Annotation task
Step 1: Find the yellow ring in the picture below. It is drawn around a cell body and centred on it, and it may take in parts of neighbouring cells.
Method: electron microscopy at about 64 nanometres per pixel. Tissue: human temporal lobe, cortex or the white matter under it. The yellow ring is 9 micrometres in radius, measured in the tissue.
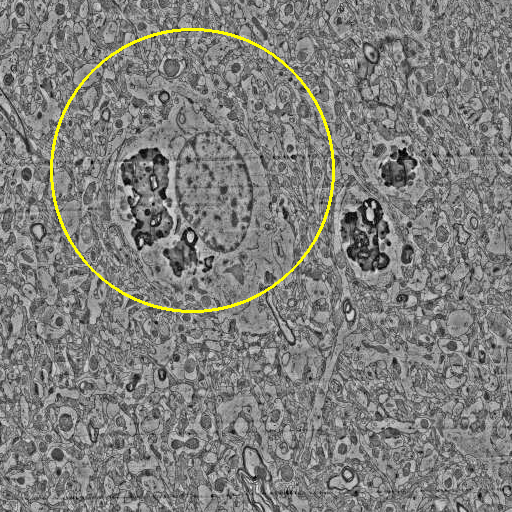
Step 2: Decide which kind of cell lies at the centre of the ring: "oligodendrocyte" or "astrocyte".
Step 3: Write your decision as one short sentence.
The kind of cell at the ring's centre is an astrocyte.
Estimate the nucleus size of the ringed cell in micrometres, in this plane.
Roughly 8 by 5 micrometers, clearly longer than it is wide in this plane.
